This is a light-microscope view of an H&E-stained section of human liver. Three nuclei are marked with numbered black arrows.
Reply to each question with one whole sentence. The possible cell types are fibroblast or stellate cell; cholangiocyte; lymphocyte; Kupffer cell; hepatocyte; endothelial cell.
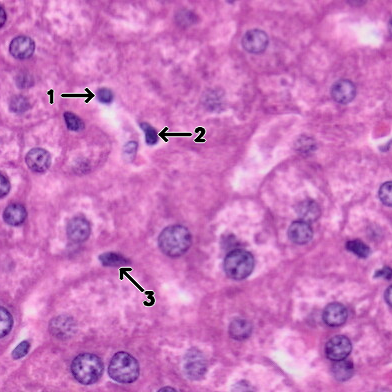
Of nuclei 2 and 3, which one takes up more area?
Nucleus 3 is the larger one, covering about 1.5 times the area of nucleus 2.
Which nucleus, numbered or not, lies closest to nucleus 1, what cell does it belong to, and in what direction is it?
The nearest nucleus is that of a fibroblast or stellate cell and lies below and to the left of nucleus 1.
